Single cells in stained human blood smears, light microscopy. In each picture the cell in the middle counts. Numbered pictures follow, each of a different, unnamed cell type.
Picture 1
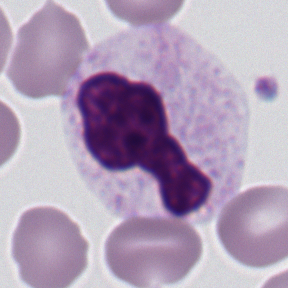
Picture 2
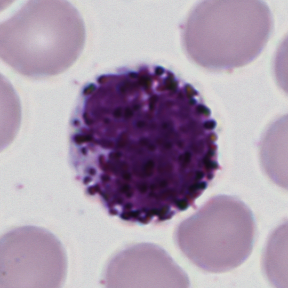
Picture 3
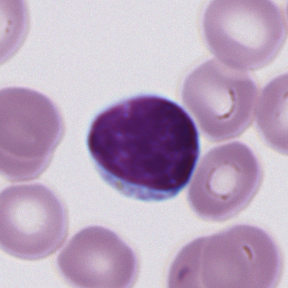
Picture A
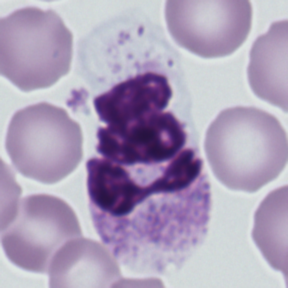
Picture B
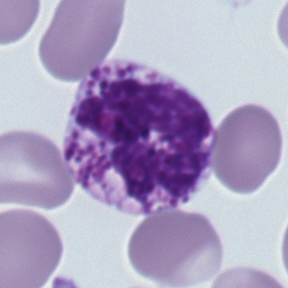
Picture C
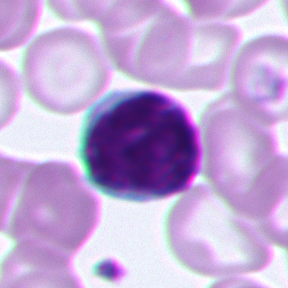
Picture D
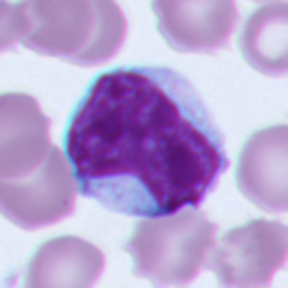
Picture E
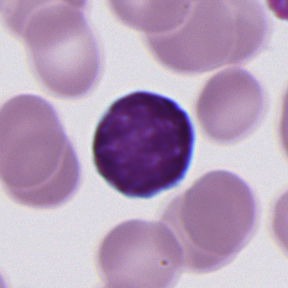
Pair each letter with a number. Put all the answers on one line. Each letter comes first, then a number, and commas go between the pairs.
A 1, B 2, C 3, D 3, E 3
